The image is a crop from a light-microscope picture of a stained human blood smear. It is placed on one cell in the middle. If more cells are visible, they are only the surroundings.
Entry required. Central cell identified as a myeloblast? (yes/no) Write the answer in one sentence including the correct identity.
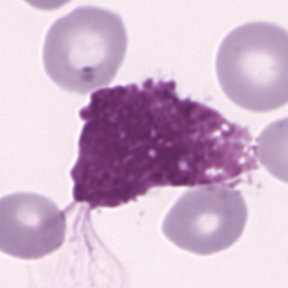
No, the central cell does not represent a myeloblast, but a smudge cell.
